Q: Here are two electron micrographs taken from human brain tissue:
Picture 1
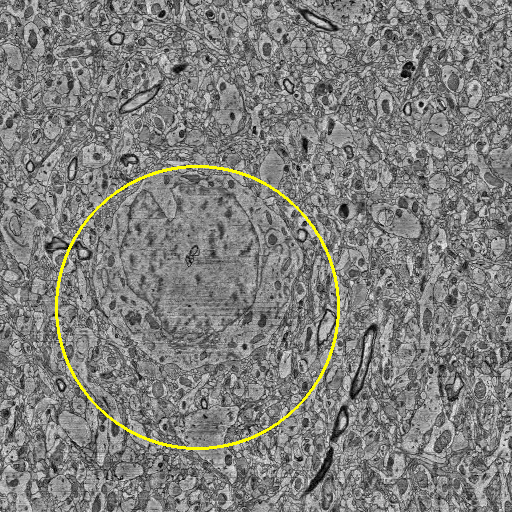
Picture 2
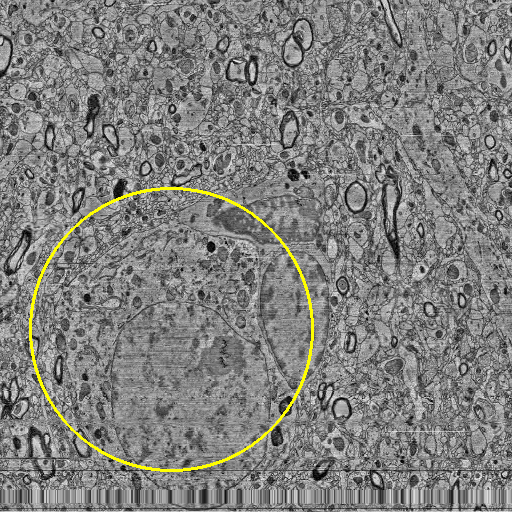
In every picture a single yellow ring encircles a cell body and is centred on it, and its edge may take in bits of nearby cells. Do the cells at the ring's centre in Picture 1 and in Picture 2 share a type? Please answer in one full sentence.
No, the cells at the ring's centre in Picture 1 and Picture 2 are of two types.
